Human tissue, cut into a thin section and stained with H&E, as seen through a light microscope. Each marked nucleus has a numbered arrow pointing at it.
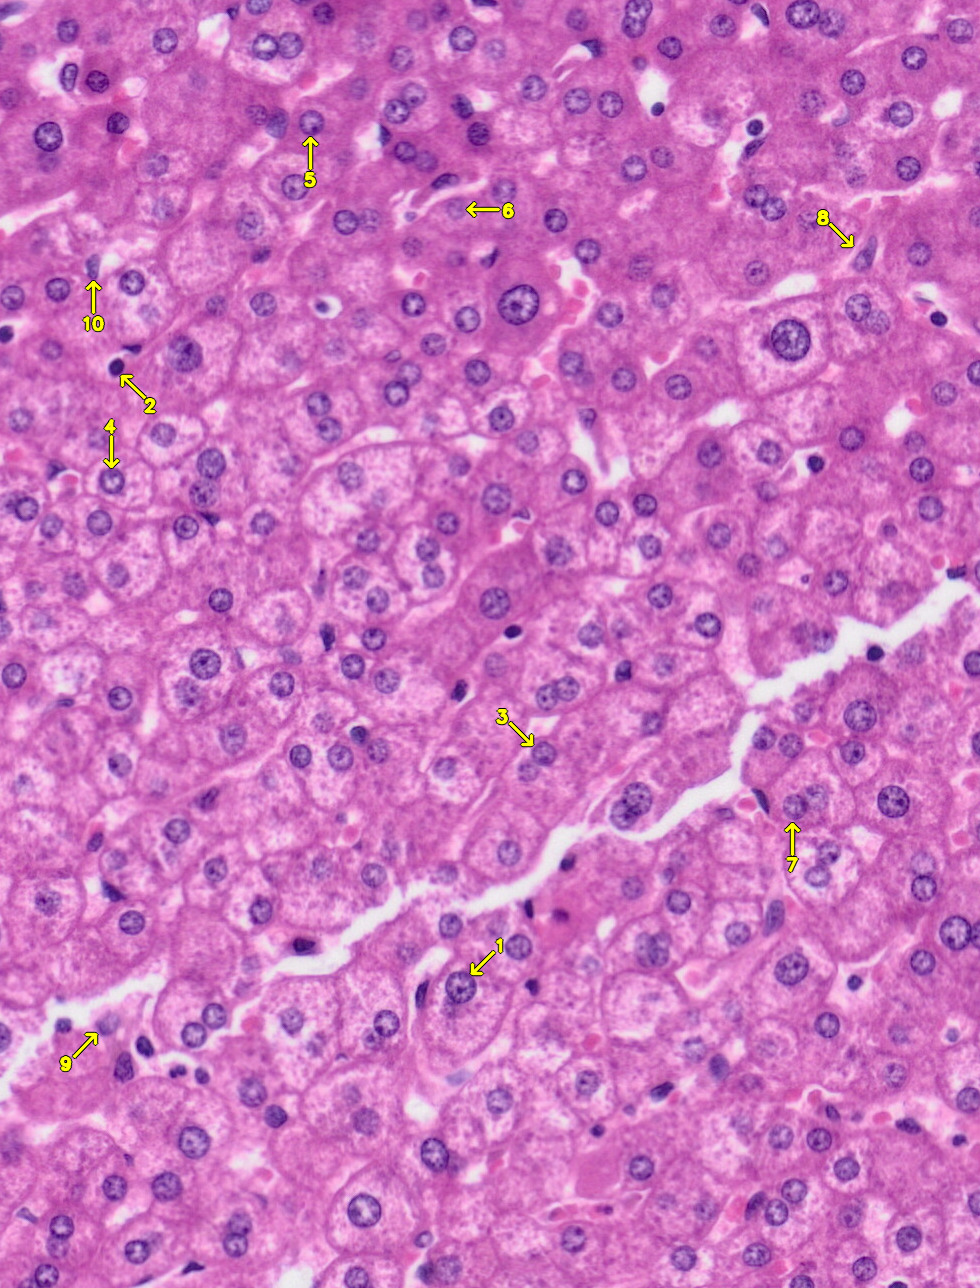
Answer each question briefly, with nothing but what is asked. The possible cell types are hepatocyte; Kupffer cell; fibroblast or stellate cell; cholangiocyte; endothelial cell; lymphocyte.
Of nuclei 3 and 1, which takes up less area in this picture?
3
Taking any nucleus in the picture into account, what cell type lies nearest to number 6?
Kupffer cell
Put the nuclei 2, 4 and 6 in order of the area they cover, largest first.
4, 6, 2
